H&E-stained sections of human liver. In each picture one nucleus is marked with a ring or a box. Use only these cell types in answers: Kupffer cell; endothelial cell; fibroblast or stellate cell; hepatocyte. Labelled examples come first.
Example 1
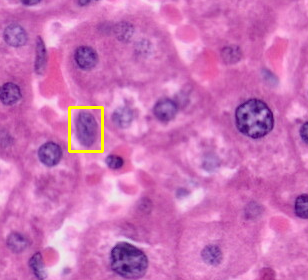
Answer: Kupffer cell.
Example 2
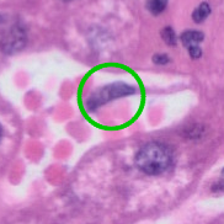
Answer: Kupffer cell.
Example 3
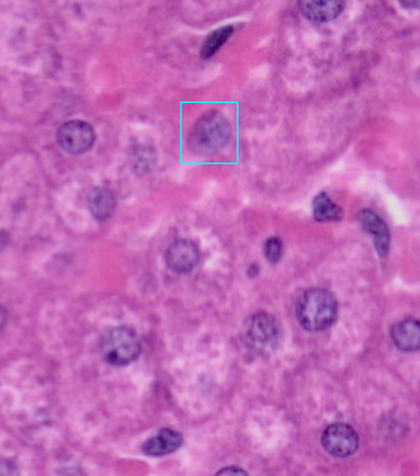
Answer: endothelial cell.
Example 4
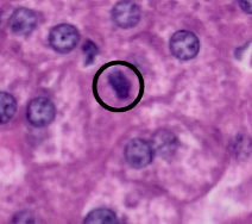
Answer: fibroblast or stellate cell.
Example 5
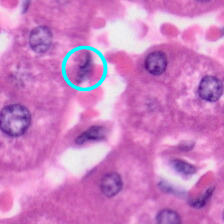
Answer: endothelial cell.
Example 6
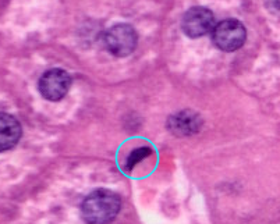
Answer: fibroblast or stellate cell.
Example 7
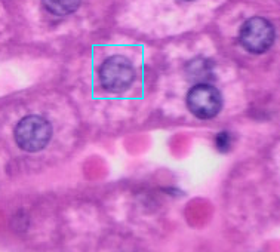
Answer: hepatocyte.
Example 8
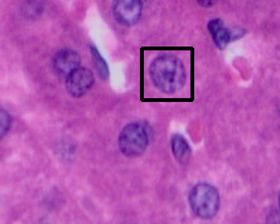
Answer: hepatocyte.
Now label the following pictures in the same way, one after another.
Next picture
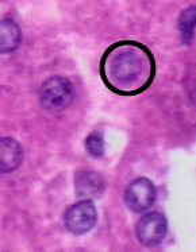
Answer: hepatocyte.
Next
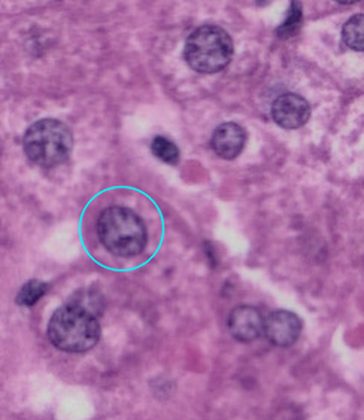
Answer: hepatocyte.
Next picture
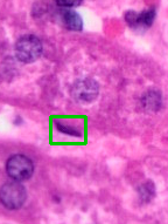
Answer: endothelial cell.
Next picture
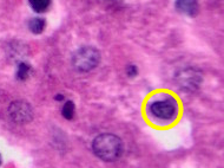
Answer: Kupffer cell.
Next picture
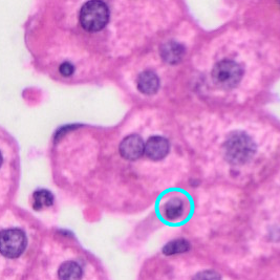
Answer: Kupffer cell.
